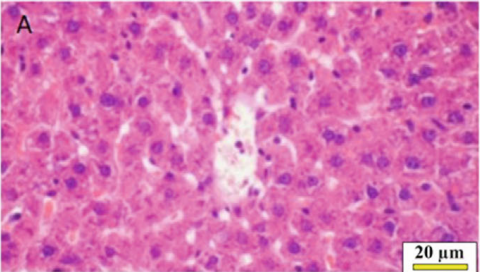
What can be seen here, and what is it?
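This is liver tissue showing hepatocytes arranged around a central vessel. The hepatocytes are polygonal cells with pink, finely granular cytoplasm and round purple nuclei, some cells holding two nuclei. They form cords that run toward the pale, irregular vessel in the middle of the field. Thin, light spaces between the cords mark the sinusoids. No dense clusters of small dark cells are seen among the cords.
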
